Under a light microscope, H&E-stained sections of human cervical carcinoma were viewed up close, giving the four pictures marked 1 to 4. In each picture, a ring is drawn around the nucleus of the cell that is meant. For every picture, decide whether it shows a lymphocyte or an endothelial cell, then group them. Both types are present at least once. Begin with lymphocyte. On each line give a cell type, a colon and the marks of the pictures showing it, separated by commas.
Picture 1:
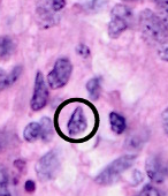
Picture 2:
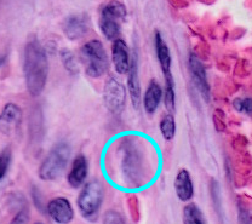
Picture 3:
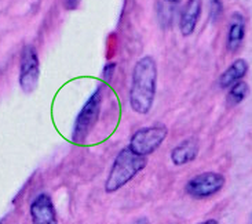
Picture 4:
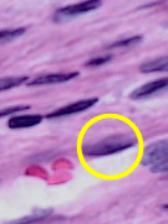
lymphocyte: 1
endothelial cell: 2, 3, 4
